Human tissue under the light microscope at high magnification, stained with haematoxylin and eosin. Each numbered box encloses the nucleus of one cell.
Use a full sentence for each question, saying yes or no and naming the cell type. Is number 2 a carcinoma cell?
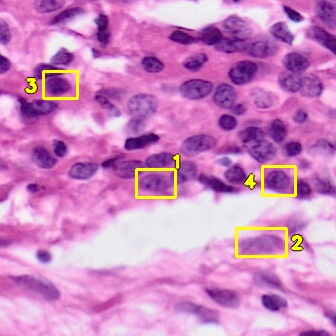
No, rather than a carcinoma cell, cell number 2 is a fibroblast.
